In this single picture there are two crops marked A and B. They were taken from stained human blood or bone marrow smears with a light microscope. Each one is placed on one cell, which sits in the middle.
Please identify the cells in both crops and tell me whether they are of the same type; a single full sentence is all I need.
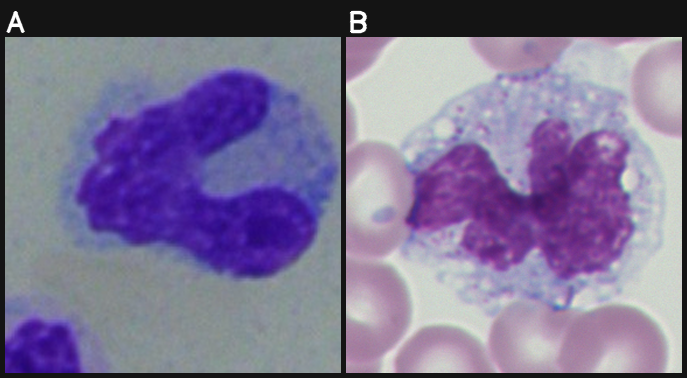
Yes, both crops show monocytes as their central cells.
